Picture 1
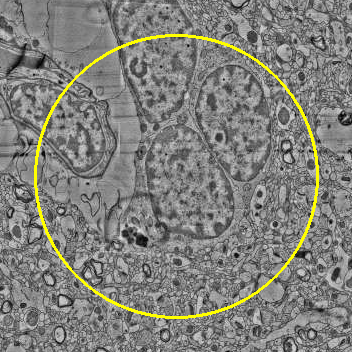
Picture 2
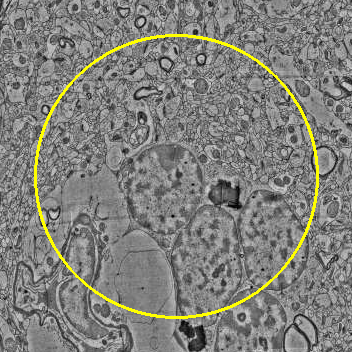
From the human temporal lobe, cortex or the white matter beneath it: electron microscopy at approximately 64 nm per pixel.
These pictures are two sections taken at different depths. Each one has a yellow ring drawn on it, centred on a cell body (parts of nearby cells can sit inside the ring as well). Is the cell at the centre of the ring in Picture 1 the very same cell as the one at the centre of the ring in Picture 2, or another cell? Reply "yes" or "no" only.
no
